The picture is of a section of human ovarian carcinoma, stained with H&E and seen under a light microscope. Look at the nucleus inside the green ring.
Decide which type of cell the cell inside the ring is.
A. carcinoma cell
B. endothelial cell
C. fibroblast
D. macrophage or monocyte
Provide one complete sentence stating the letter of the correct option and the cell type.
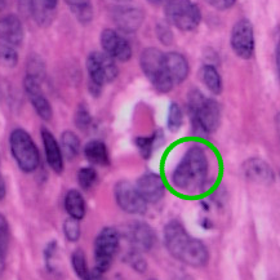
Since the cell inside the ring is a carcinoma cell, option A is correct.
